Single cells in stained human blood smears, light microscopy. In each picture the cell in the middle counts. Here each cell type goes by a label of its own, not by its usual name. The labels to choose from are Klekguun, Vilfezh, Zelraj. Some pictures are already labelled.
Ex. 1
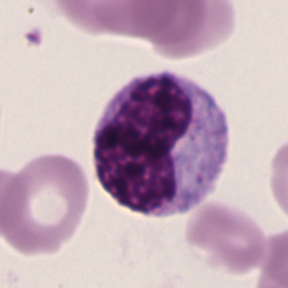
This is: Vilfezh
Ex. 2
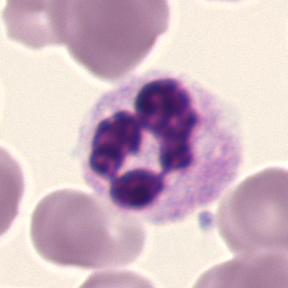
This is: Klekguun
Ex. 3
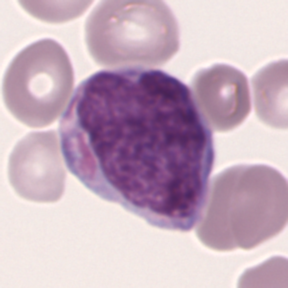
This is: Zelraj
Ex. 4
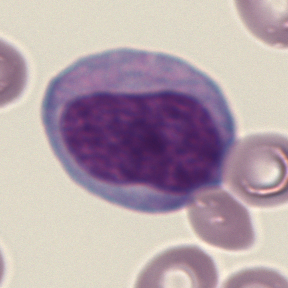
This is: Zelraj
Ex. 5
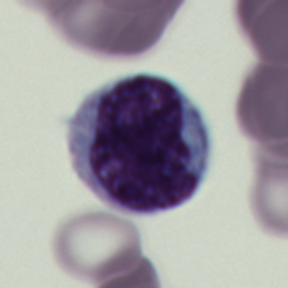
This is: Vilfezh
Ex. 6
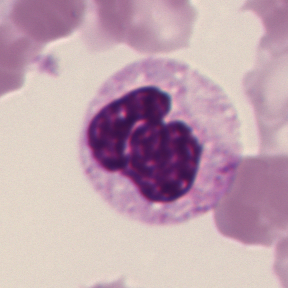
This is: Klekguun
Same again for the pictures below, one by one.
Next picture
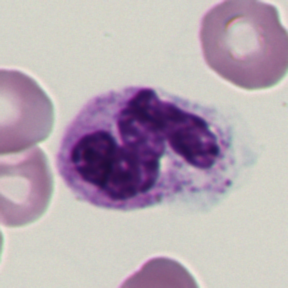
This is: Klekguun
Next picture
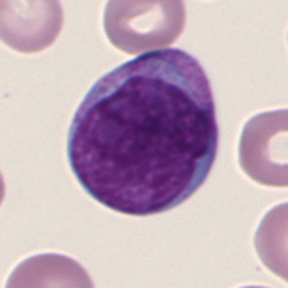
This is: Zelraj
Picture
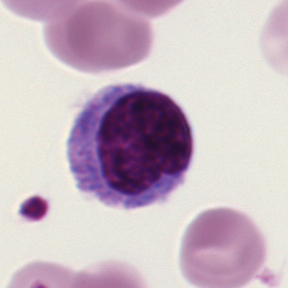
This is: Vilfezh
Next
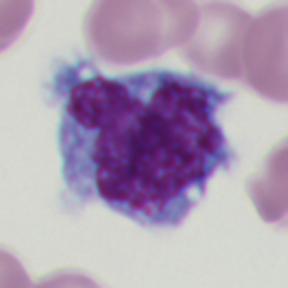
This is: Vilfezh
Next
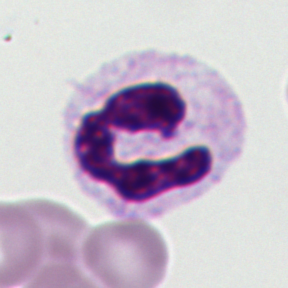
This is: Klekguun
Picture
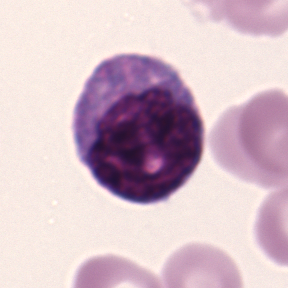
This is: Vilfezh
